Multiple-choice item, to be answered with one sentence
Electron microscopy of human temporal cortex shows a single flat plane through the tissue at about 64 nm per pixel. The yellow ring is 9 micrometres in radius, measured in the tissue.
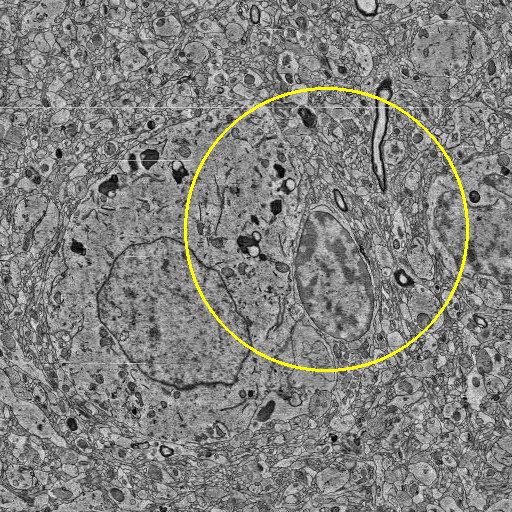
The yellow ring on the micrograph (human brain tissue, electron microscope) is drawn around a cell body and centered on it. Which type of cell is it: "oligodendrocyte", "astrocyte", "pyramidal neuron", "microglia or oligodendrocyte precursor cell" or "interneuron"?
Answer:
The ring is centered on a microglial cell or oligodendrocyte precursor cell.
